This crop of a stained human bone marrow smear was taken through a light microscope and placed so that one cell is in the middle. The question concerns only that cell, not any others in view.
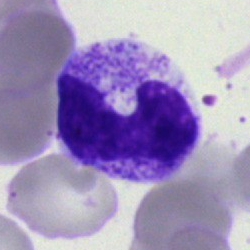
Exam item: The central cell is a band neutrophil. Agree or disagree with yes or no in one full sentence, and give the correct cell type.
Yes, the cell at the middle of the frame is a band neutrophil.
